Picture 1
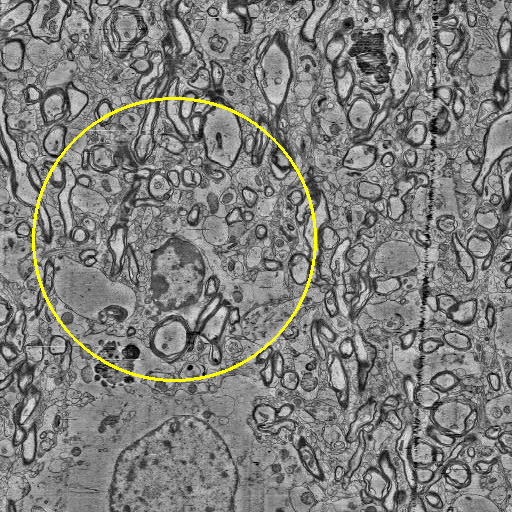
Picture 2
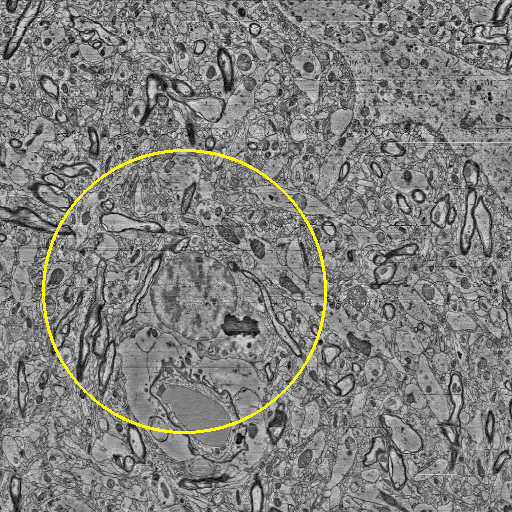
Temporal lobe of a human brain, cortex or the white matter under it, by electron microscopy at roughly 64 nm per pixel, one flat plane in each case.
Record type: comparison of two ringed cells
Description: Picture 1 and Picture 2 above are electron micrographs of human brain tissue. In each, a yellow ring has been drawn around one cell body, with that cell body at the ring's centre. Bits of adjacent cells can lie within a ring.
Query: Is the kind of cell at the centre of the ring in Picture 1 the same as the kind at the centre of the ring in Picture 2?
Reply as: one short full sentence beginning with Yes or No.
No, the two ringed cells are of two separate kinds.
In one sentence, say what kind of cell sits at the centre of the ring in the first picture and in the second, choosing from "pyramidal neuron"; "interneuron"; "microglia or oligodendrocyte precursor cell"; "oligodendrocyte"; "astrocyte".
The first picture's ringed cell is a microglial cell or oligodendrocyte precursor cell, while the second picture's is an oligodendrocyte.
